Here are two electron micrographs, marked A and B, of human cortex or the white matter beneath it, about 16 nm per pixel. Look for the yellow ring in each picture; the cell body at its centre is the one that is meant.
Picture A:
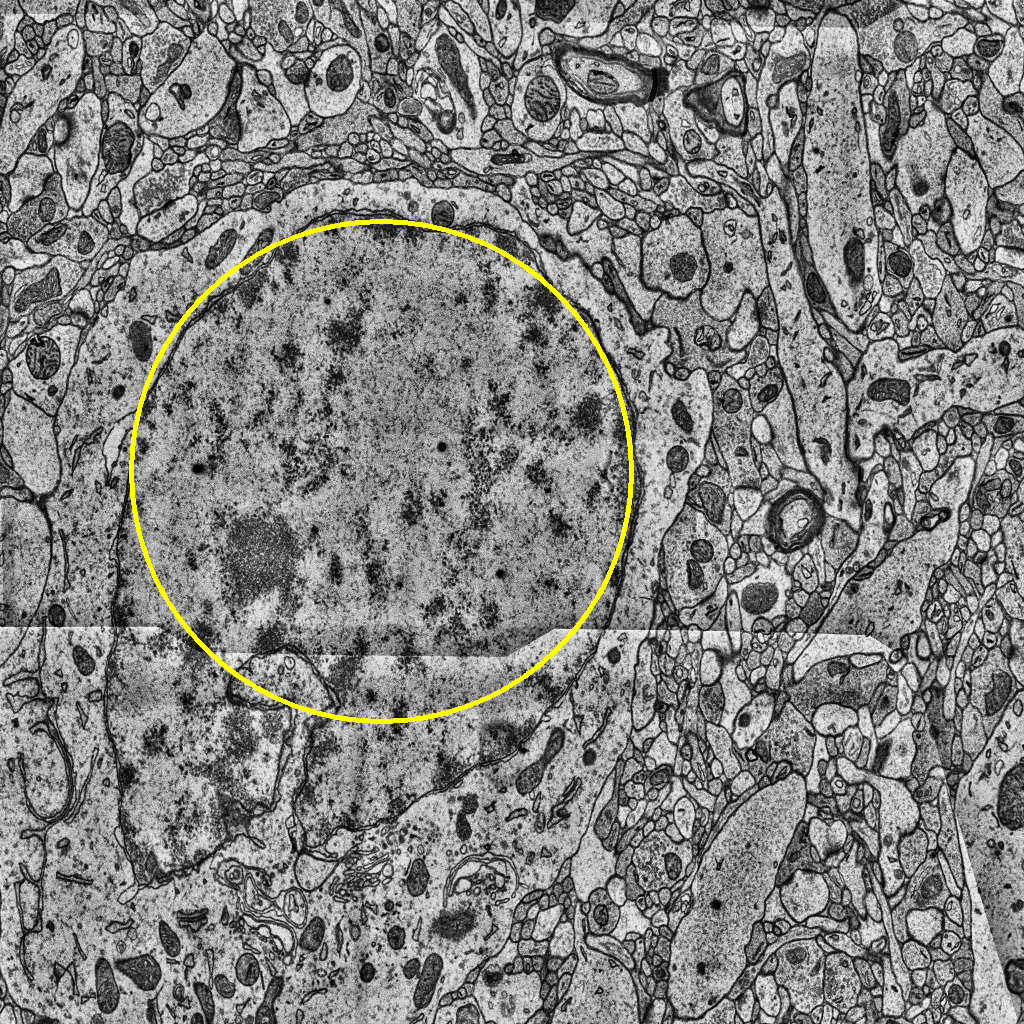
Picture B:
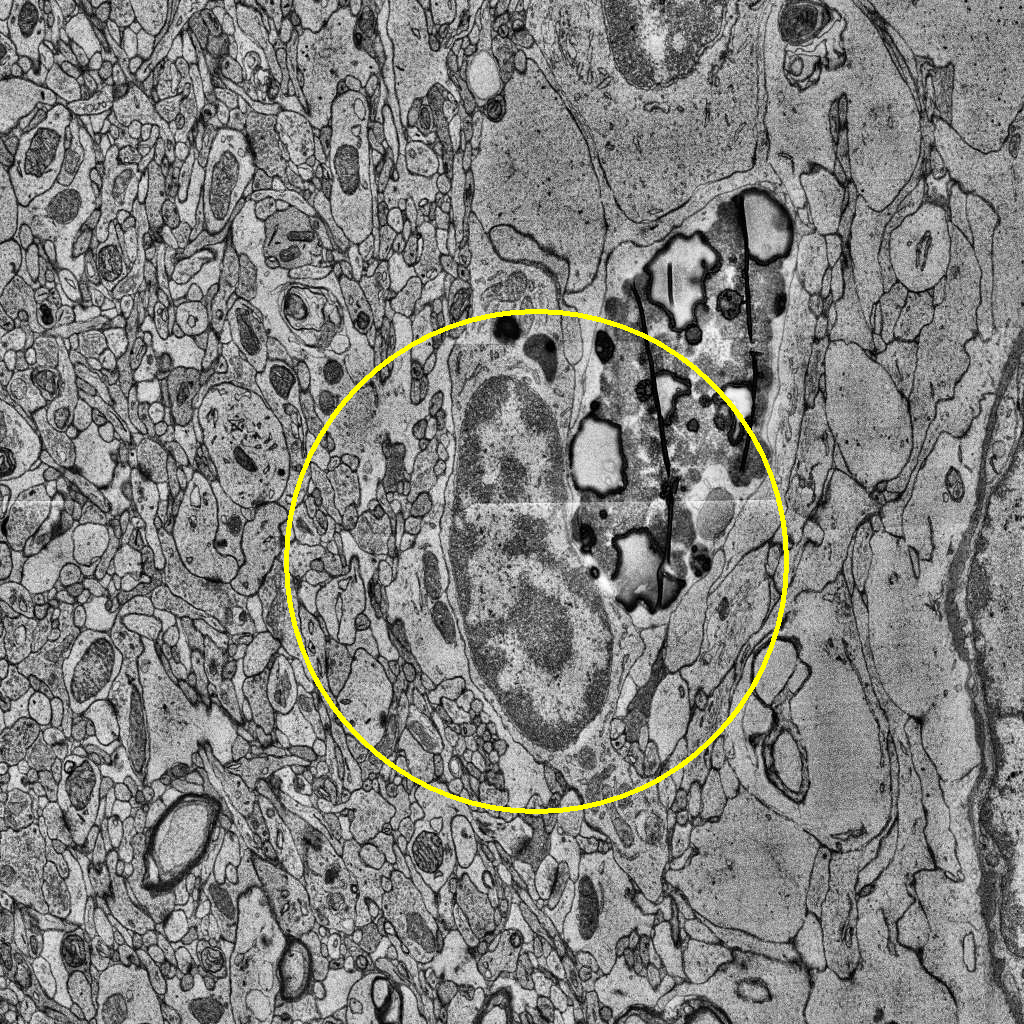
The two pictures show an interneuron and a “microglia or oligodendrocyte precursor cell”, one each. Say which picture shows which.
In picture A the cell is an interneuron; in picture B, a “microglia or oligodendrocyte precursor cell”.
